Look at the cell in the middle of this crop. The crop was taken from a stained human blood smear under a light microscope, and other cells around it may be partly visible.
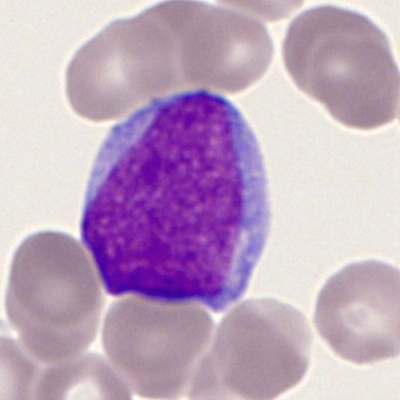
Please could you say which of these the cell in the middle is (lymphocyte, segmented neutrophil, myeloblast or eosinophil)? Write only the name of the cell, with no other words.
myeloblast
